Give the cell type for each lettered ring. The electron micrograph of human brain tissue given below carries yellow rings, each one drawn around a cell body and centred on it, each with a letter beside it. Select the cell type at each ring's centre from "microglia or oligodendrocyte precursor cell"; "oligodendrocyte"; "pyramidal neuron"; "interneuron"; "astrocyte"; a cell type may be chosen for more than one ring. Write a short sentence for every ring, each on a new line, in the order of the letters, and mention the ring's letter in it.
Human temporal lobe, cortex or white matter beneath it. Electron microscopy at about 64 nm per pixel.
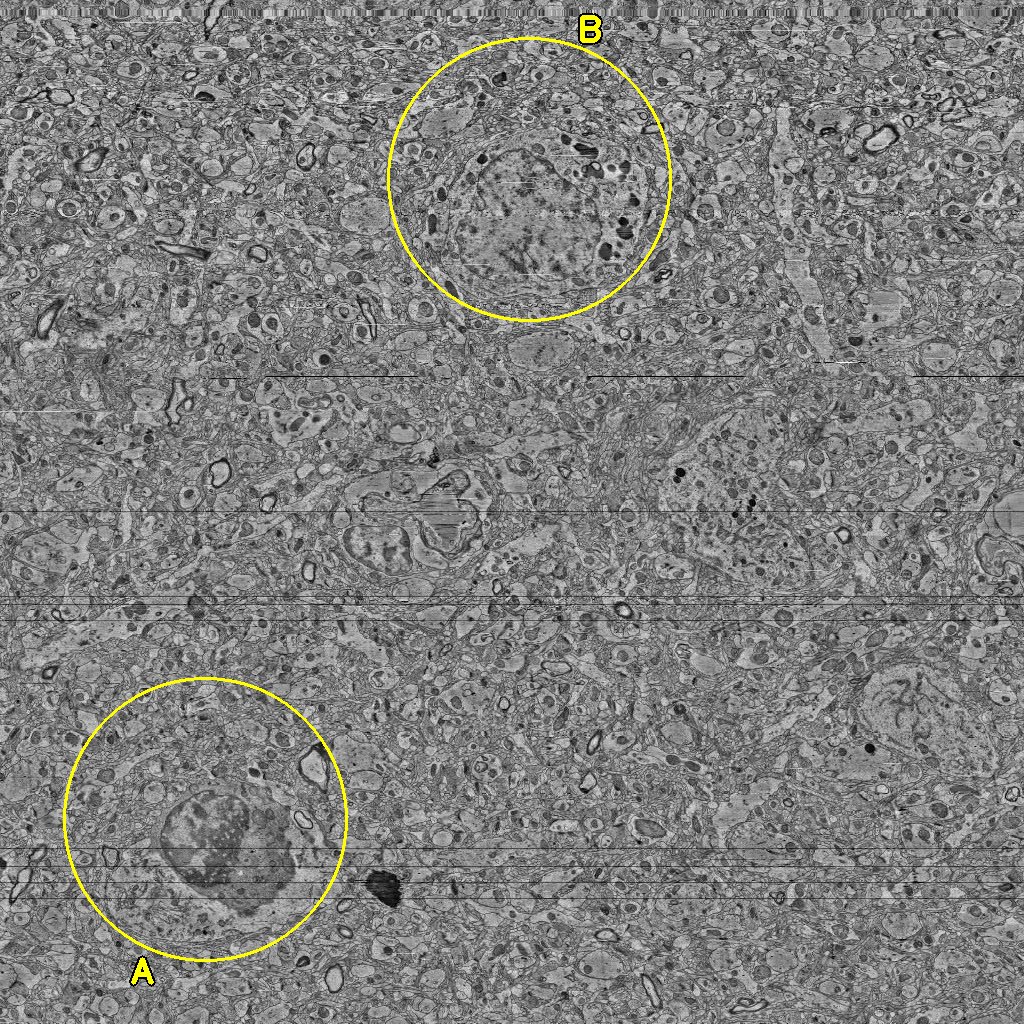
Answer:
The cell type for ring A is an oligodendrocyte.
The cell type for ring B is an interneuron.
